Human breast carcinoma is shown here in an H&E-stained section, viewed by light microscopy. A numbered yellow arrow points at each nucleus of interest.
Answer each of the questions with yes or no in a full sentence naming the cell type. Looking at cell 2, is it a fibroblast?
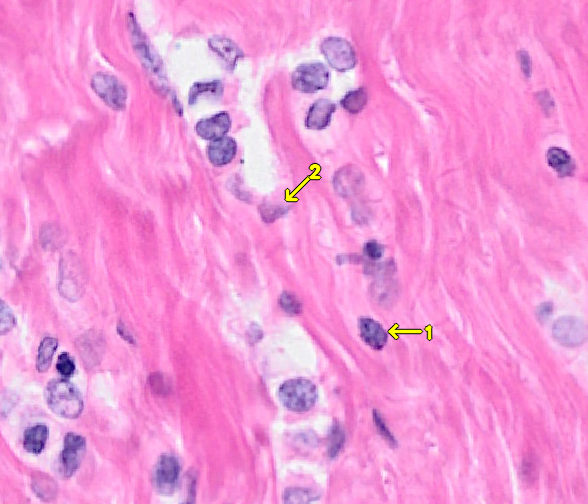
Yes, the cell with the mark numbered 2 is a fibroblast.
